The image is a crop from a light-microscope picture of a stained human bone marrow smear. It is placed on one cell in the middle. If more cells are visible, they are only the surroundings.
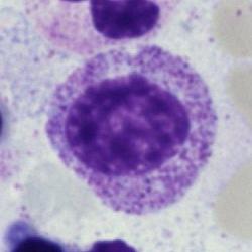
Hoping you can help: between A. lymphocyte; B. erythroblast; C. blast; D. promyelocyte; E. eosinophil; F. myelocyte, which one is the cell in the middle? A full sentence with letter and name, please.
Option F gets it right: the cell in the middle is a myelocyte.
